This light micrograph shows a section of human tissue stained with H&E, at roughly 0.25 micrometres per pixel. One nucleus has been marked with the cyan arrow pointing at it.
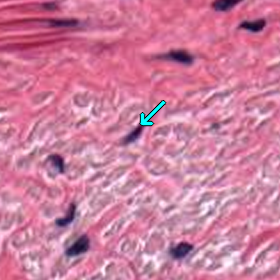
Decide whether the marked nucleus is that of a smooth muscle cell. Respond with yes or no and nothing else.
no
